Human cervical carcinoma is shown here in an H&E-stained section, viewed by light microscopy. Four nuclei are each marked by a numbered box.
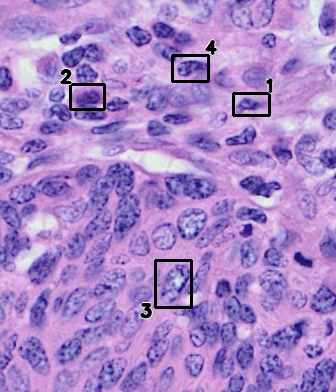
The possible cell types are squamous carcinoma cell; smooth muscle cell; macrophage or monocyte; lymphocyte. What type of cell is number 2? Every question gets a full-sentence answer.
The expected answer is that cell 2 is a lymphocyte.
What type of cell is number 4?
Corresponding to a lymphocyte is the cell labelled 4.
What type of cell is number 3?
Corresponding to a squamous carcinoma cell is the cell labelled 3.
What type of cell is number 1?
Cell 1 is classified as a lymphocyte.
